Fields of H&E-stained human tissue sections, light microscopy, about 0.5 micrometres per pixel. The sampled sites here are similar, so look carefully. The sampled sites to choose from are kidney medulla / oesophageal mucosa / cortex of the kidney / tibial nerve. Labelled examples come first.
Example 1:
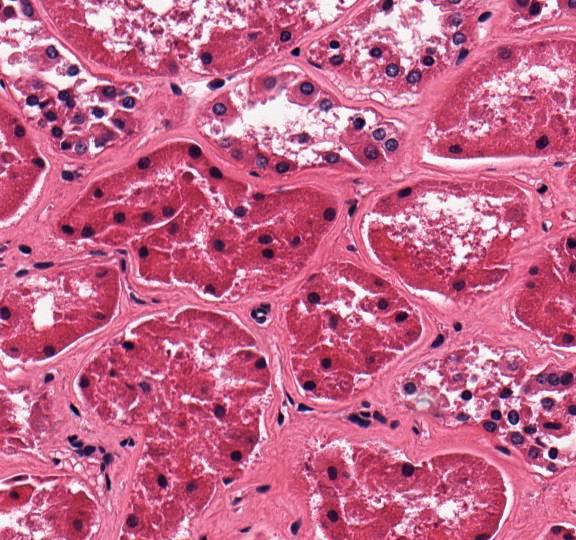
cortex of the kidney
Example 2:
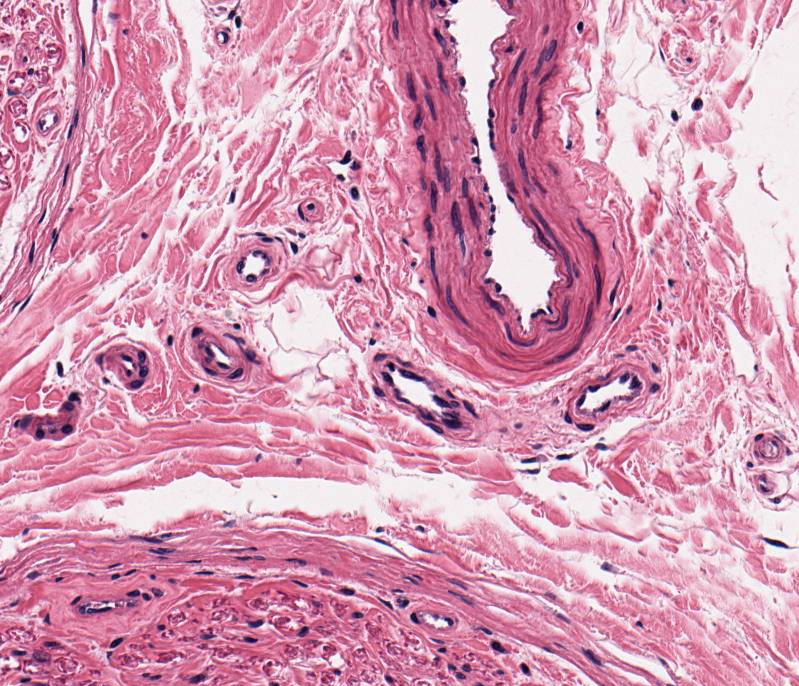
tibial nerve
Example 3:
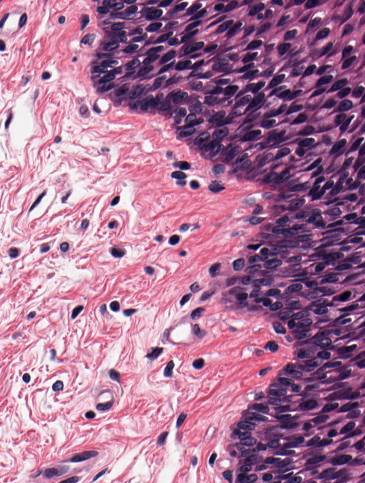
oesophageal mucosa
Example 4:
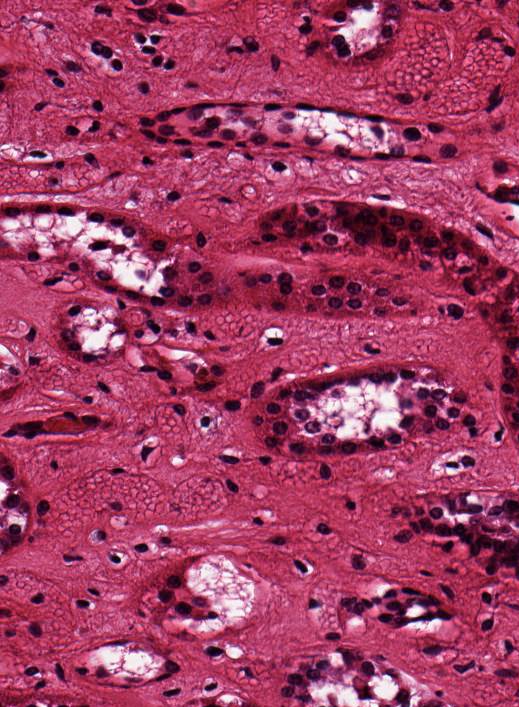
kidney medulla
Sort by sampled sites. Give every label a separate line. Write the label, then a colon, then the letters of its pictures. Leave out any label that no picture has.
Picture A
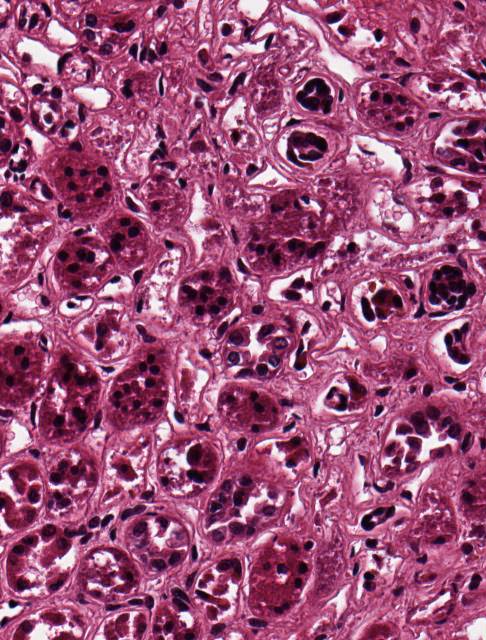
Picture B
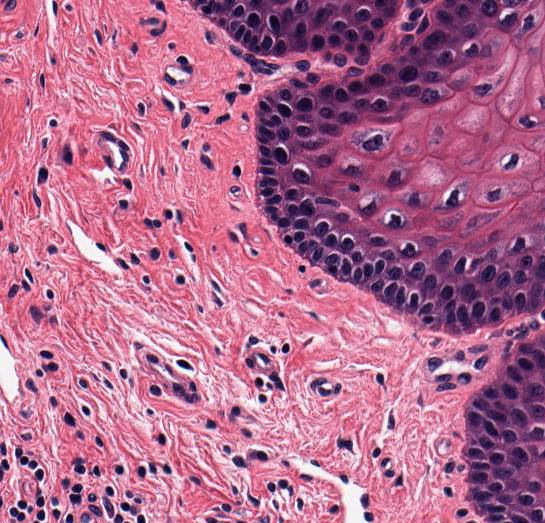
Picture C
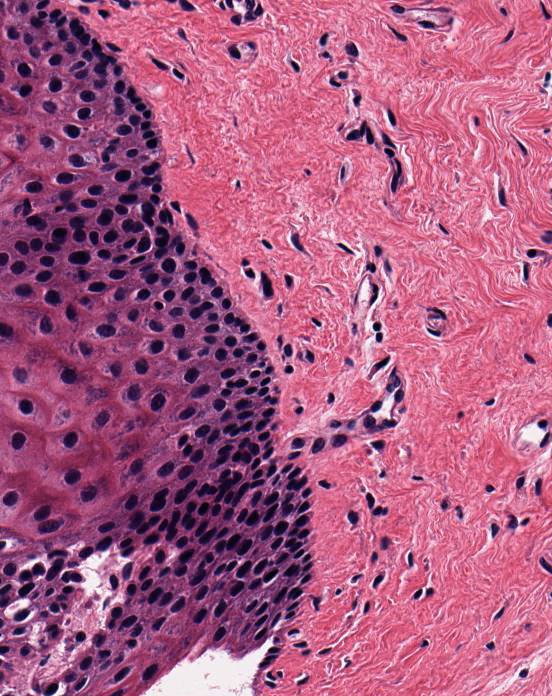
kidney medulla: A
oesophageal mucosa: B, C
